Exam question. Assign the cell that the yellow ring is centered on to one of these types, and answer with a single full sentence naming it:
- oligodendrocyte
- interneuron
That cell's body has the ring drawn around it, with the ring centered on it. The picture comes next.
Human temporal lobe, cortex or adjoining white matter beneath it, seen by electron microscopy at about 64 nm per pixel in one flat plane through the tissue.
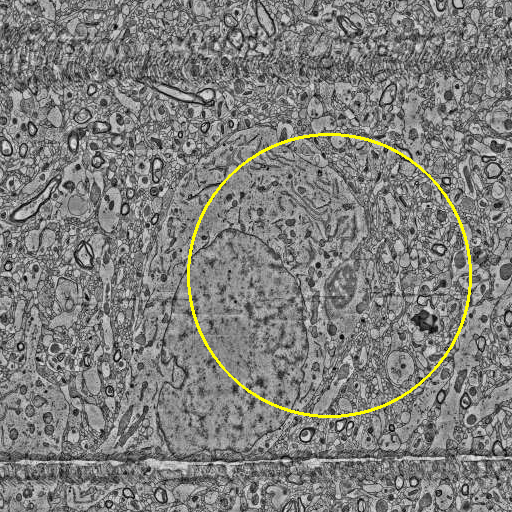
In the micrograph, the cell the yellow ring is centered on is an oligodendrocyte.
